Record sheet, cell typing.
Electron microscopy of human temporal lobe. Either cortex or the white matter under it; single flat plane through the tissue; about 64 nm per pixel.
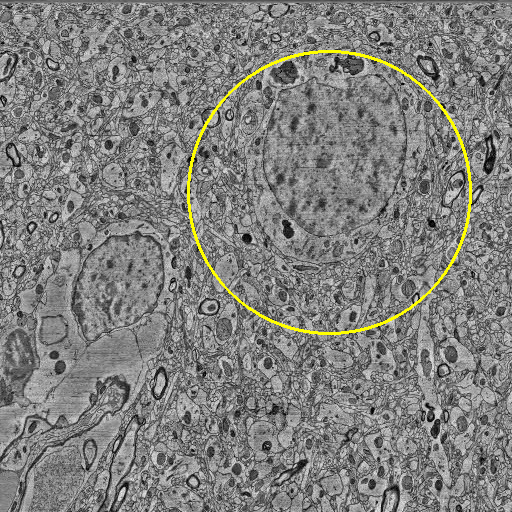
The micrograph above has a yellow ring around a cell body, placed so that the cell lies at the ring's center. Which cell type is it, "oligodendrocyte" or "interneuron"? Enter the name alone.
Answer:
interneuron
